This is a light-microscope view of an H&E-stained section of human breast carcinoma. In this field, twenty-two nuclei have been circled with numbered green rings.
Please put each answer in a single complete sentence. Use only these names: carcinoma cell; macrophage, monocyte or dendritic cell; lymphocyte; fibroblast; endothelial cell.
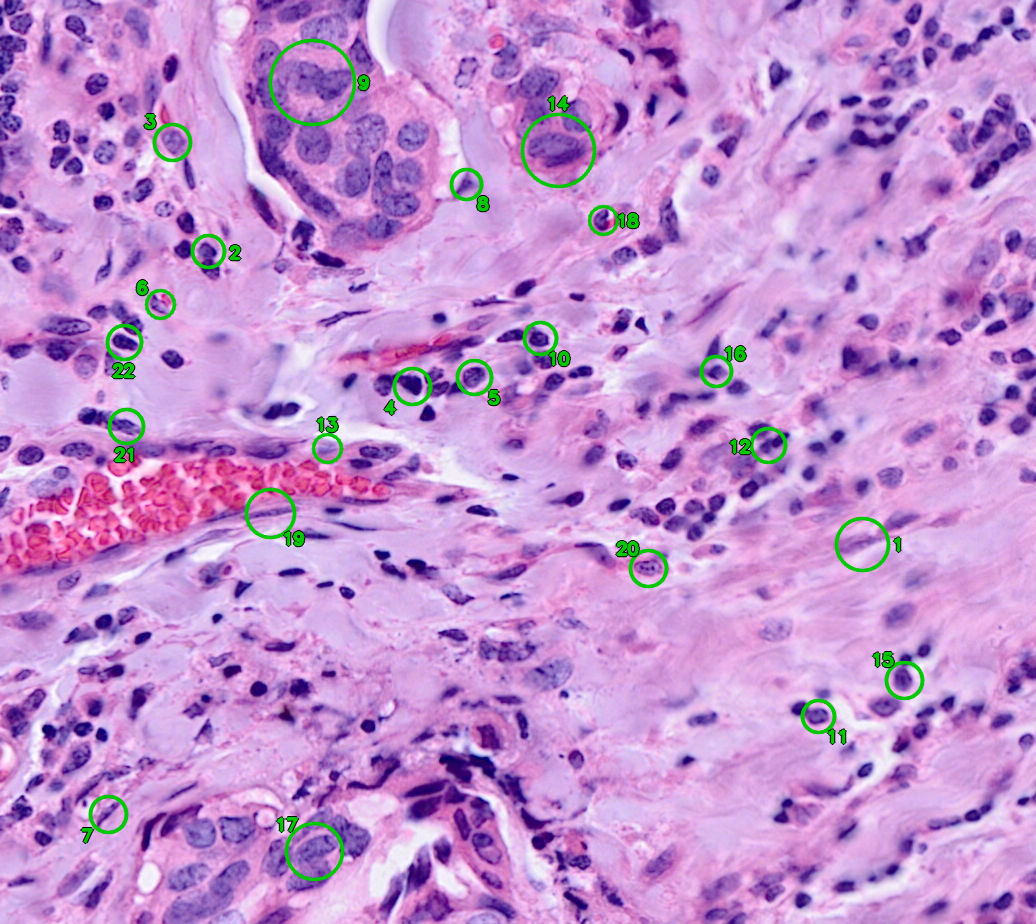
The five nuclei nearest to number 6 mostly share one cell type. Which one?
The majority of the five nuclei closest to number 6 belong to lymphocytes.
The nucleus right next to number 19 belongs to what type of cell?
Number 19 lies closest to the nucleus of an endothelial cell.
